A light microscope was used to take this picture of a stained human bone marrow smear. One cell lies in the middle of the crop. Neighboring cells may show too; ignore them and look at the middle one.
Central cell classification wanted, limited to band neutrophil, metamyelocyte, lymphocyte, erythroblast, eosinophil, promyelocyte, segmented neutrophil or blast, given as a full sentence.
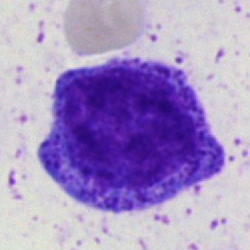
The cell the crop is centered on is a promyelocyte.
